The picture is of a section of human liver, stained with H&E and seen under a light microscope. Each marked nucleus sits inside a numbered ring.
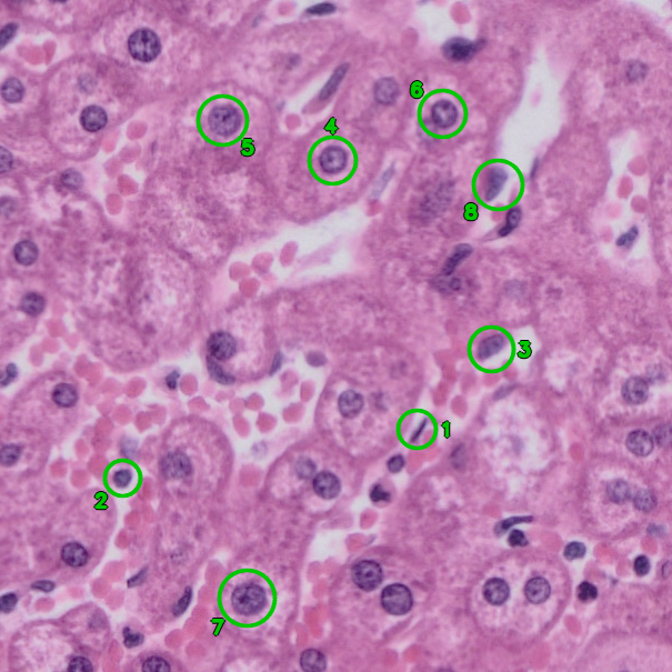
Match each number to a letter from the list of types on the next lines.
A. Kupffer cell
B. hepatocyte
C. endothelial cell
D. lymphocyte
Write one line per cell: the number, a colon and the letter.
1: C
2: D
3: A
4: B
5: B
6: B
7: B
8: C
